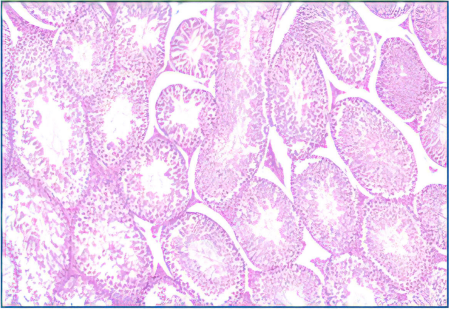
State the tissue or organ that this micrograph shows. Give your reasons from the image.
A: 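Closely packed round and oval tubule cross-sections fill the field. Each tubule is lined by a thick, many-layered epithelium of purple nuclei. Tubule centres hold pale, fine, streaming material. Only narrow spaces separate neighbouring tubules. That points to this answer: testicular.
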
